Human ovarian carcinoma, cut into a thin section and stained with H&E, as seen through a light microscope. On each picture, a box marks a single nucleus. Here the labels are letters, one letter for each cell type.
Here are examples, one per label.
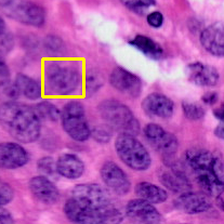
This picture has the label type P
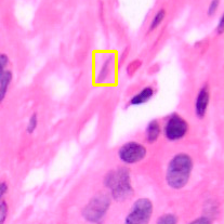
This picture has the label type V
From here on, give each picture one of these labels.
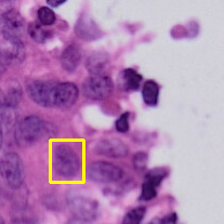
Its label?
type P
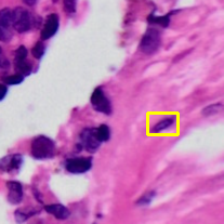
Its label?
type V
